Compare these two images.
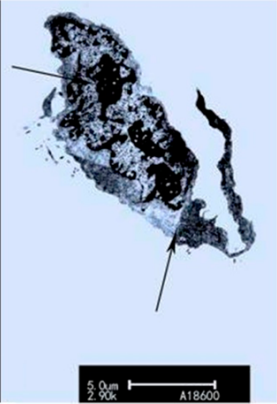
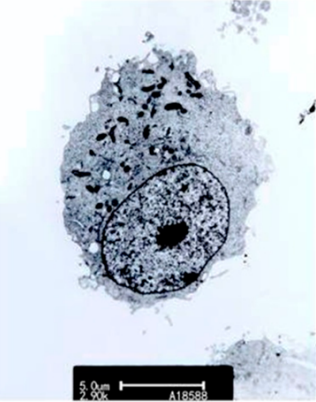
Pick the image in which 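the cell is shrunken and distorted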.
The first image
